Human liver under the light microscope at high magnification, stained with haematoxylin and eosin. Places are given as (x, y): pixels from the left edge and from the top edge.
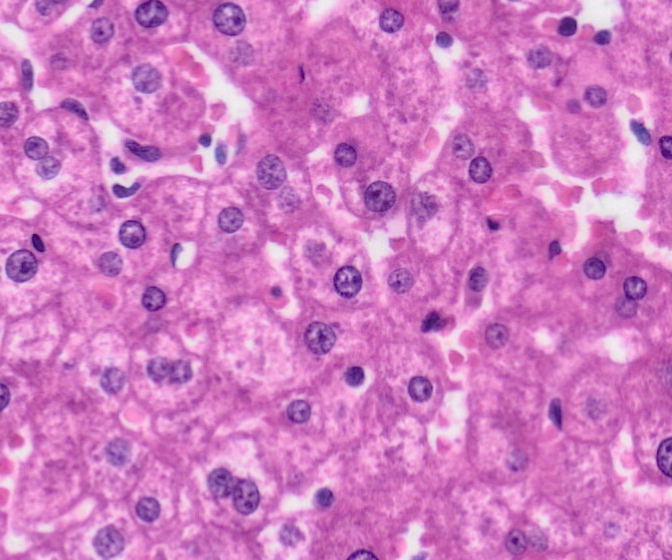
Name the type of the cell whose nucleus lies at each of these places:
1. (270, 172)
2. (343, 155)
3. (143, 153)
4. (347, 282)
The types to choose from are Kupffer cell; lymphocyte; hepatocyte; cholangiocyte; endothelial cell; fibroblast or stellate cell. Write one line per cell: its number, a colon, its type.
1: hepatocyte
2: hepatocyte
3: Kupffer cell
4: hepatocyte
